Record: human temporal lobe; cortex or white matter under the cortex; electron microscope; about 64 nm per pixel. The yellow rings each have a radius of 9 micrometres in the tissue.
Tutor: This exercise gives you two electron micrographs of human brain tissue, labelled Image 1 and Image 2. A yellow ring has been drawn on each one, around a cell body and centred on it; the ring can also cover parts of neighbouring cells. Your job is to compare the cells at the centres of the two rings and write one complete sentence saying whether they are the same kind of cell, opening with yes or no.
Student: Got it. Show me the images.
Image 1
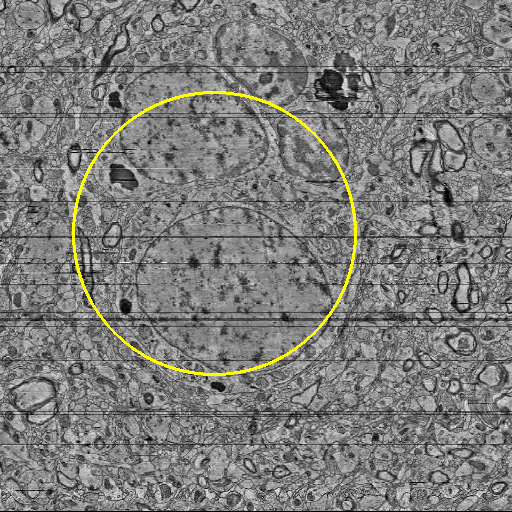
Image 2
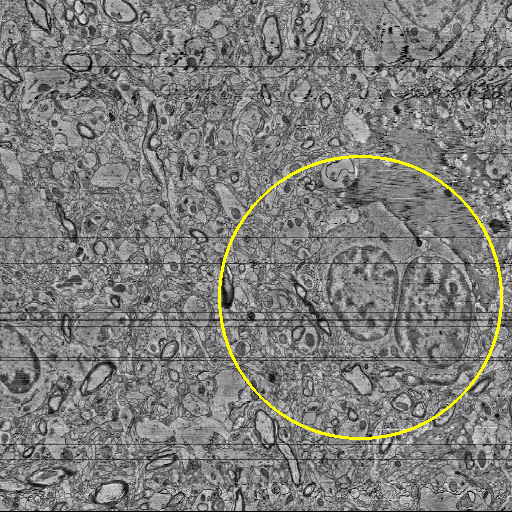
No, the two cells belong to two kinds.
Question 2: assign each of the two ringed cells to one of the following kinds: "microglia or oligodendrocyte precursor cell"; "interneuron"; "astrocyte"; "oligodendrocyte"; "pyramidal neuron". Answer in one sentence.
The two cells are a pyramidal neuron in the first picture and an oligodendrocyte in the second.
